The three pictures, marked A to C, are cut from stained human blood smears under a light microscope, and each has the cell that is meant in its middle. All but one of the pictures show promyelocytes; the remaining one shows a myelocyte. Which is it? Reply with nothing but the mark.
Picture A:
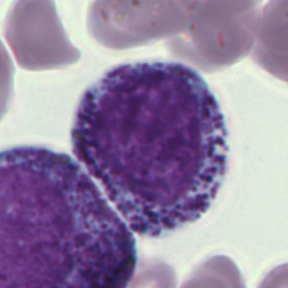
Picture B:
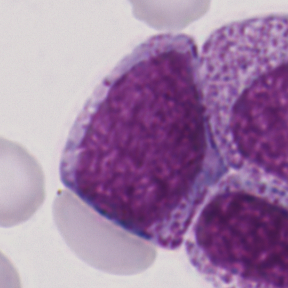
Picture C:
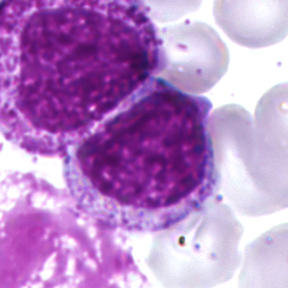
C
